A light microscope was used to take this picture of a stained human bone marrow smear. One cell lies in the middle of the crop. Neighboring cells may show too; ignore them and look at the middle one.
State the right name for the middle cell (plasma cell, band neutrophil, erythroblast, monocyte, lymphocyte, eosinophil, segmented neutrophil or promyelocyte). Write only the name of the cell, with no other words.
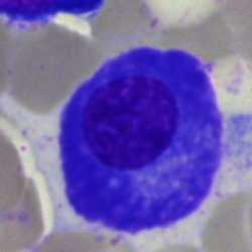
plasma cell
